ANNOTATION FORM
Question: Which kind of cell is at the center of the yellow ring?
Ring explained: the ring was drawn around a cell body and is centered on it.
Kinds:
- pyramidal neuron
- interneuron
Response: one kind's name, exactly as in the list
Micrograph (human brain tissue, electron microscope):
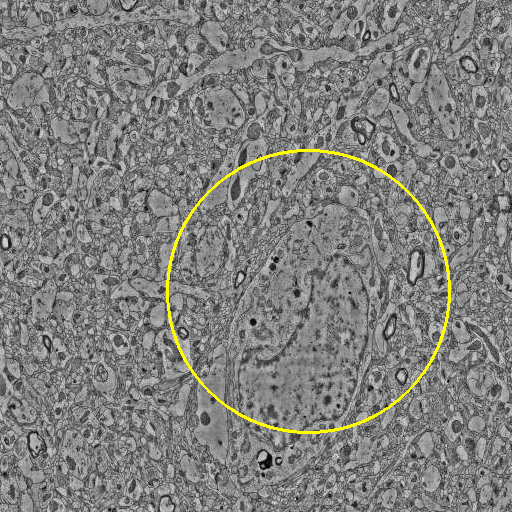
interneuron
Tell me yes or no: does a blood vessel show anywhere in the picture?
No, there is no blood vessel.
